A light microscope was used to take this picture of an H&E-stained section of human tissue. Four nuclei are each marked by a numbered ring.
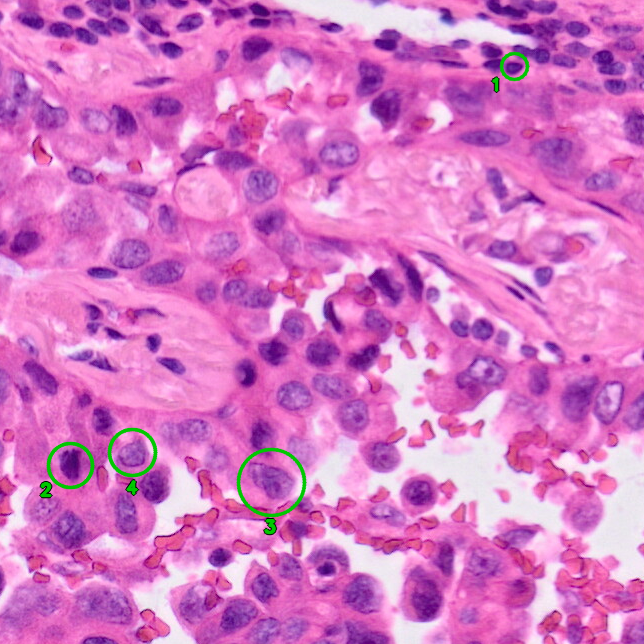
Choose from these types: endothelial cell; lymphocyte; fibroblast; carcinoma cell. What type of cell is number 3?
carcinoma cell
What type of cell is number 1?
lymphocyte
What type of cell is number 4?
carcinoma cell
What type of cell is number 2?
carcinoma cell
